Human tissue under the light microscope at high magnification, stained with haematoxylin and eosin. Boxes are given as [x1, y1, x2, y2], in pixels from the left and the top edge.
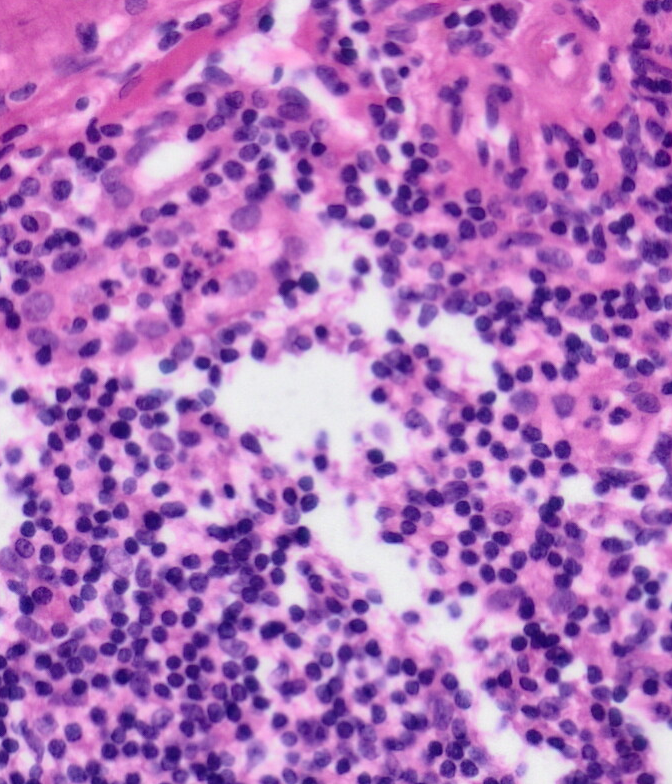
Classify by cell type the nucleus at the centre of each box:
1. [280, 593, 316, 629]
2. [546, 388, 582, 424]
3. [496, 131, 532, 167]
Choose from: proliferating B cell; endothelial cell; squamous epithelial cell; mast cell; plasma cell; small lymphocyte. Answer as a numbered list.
1. small lymphocyte
2. endothelial cell
3. endothelial cell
